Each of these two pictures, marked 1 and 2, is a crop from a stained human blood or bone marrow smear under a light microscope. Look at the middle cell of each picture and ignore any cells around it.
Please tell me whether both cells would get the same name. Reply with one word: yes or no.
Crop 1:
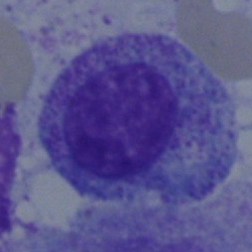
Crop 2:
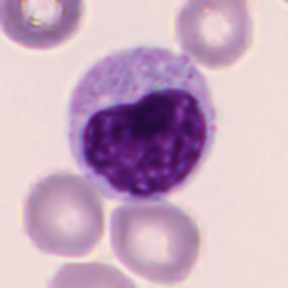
no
